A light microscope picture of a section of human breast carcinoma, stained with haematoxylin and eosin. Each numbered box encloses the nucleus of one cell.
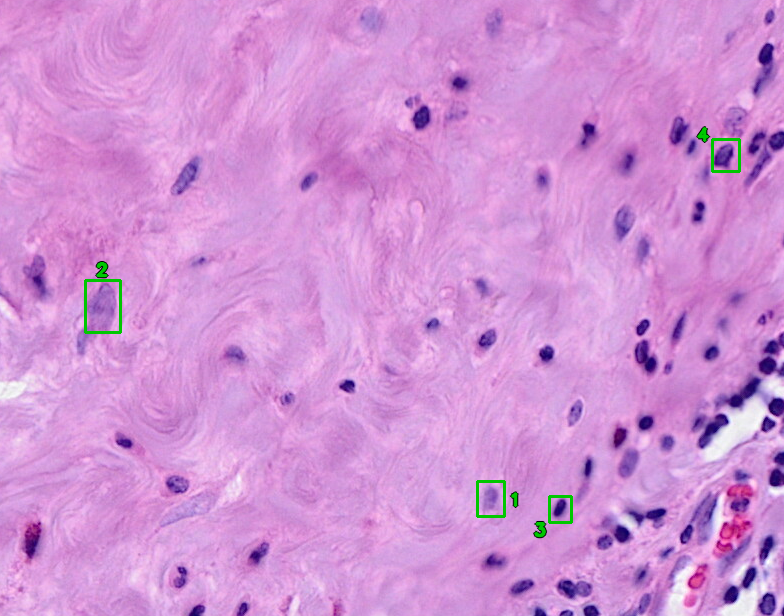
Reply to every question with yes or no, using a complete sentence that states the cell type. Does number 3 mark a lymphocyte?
Yes, the cell that has number 3 is a lymphocyte.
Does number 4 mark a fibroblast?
No, cell 4 is correctly identified as a lymphocyte and not as a fibroblast.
